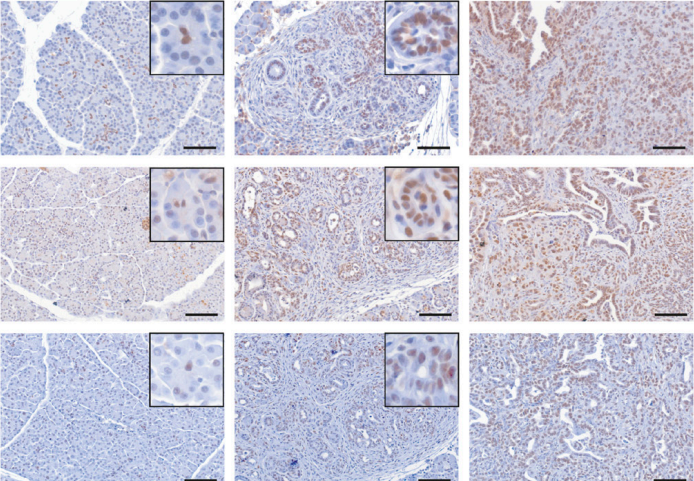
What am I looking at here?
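In the left column the acinar cells form dense lobules with round blue nuclei, and only scattered nuclei are brown. In the middle column the lobules are replaced by small duct-like tubules set in loose stroma, and the insets show ring-shaped ductal structures with brown nuclei. In the right column the tissue is crowded with irregular glandular tumour structures, and many nuclei are stained brown.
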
